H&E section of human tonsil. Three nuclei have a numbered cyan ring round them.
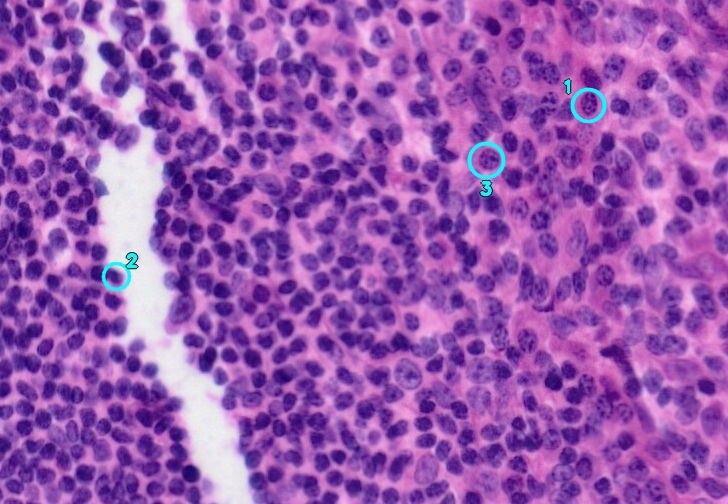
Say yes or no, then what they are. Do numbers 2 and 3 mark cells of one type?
No, cell 2 is a small lymphocyte and cell 3 is a plasma cell.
